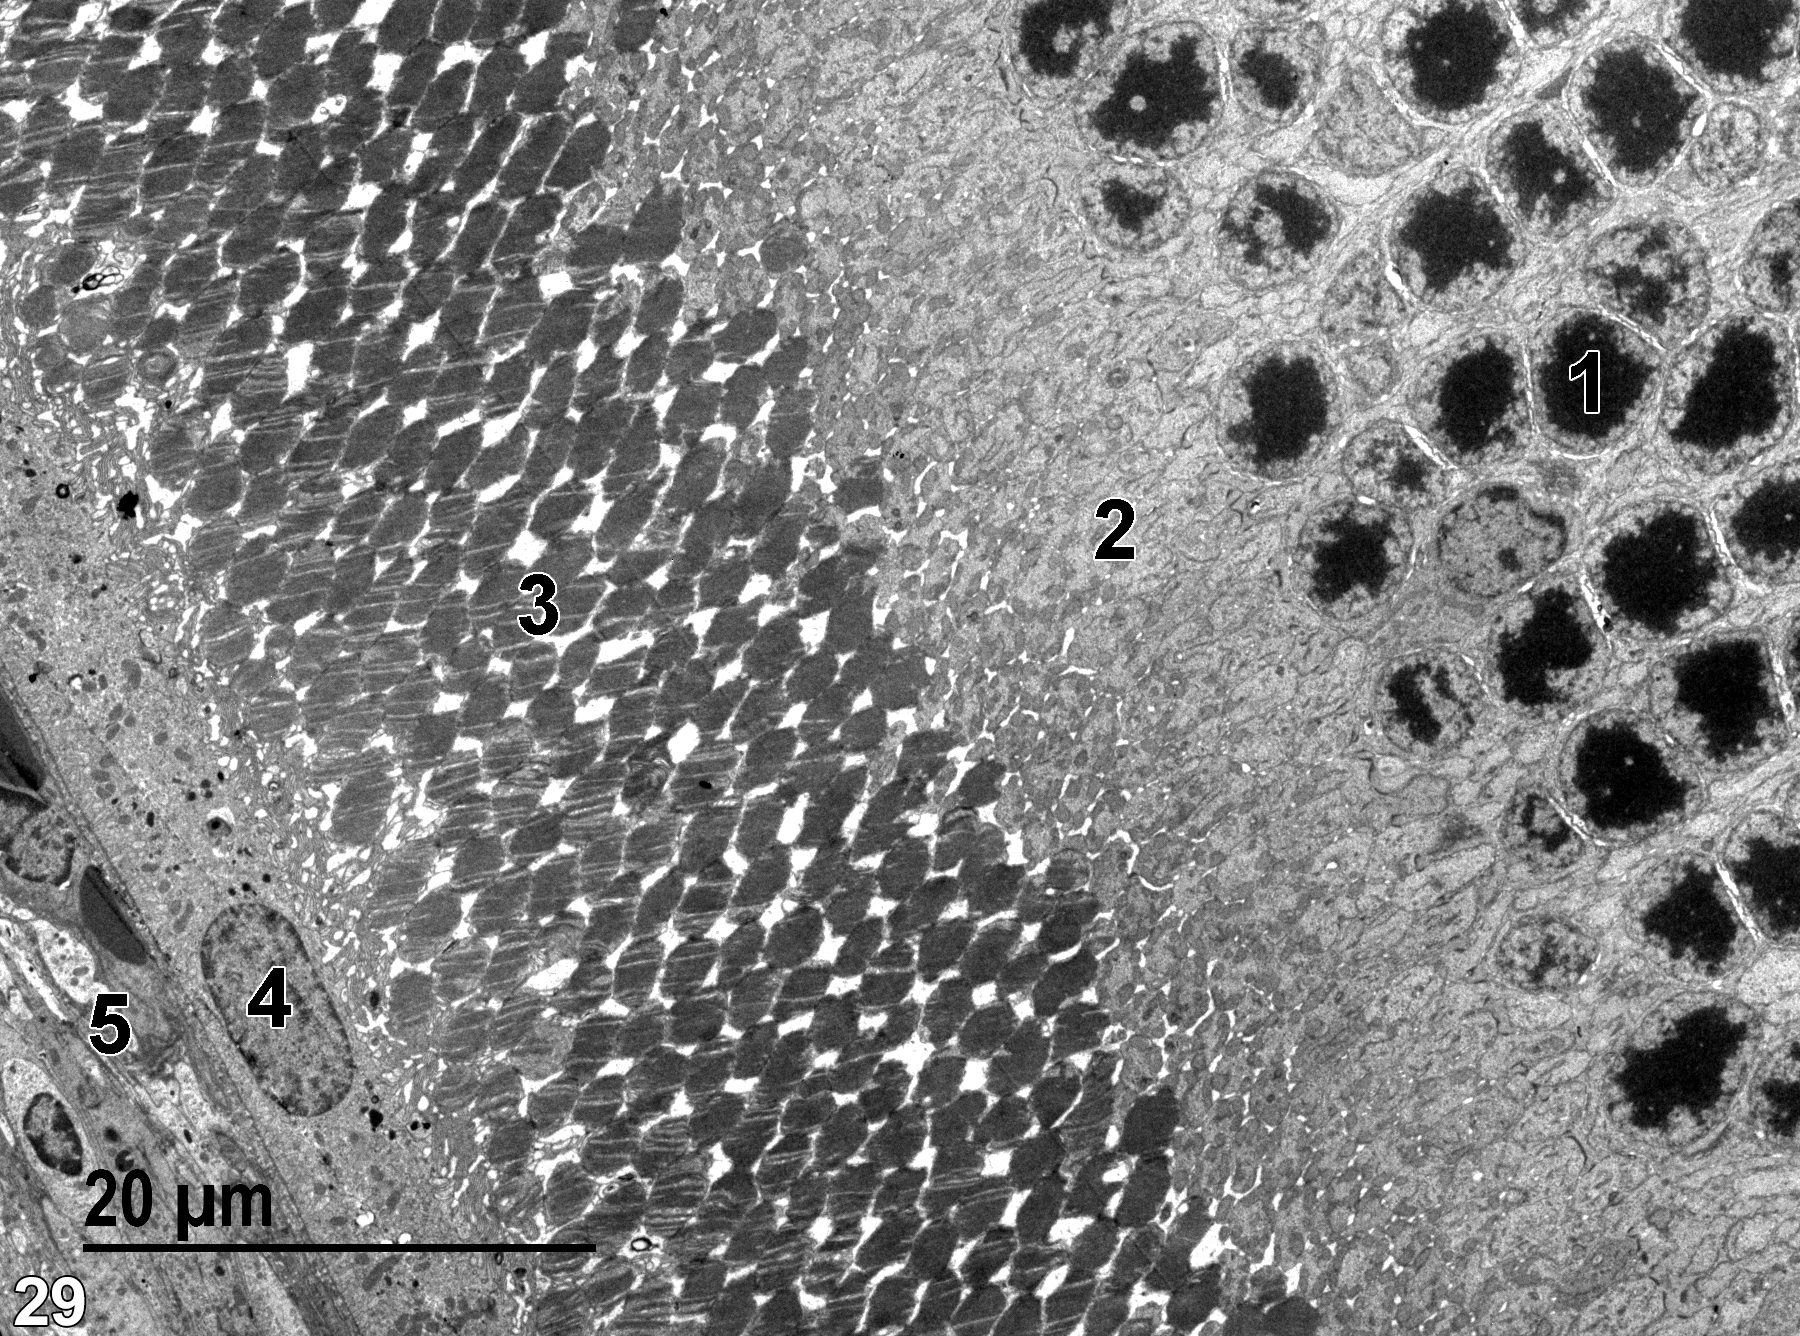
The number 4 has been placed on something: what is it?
4 marks the pigmented epithelium.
